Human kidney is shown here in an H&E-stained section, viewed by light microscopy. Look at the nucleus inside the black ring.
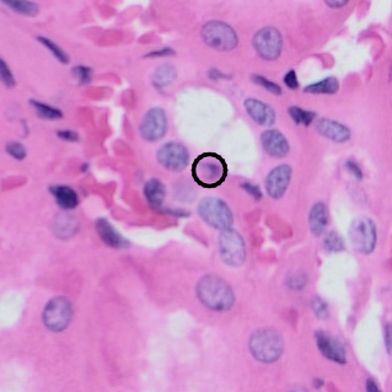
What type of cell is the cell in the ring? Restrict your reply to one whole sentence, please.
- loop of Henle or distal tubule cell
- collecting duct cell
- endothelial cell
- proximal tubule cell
In this tissue sample, the cell in the ring is a collecting duct cell.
